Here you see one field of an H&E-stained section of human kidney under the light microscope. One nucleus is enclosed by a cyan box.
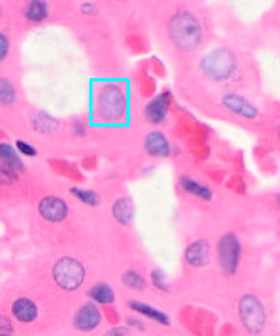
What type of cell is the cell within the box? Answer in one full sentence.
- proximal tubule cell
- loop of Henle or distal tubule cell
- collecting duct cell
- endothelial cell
Histopathologically, the cell within the box is a loop of Henle or distal tubule cell.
